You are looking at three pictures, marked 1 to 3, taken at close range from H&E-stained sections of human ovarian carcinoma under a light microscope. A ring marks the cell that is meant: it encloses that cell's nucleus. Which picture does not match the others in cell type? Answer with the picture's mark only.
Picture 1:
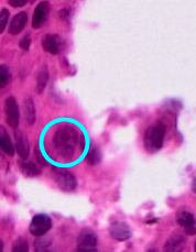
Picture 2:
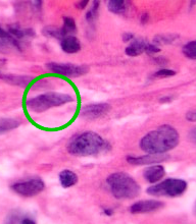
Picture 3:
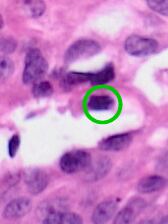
2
